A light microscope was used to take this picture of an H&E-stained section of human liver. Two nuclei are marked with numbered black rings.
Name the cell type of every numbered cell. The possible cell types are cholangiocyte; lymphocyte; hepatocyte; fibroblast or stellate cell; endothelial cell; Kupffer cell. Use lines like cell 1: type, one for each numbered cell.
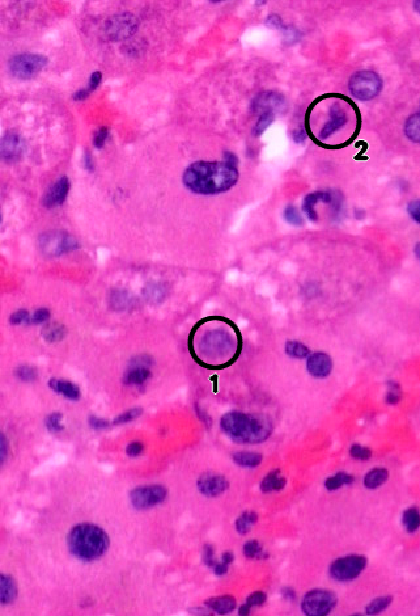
cell 1: hepatocyte
cell 2: fibroblast or stellate cell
